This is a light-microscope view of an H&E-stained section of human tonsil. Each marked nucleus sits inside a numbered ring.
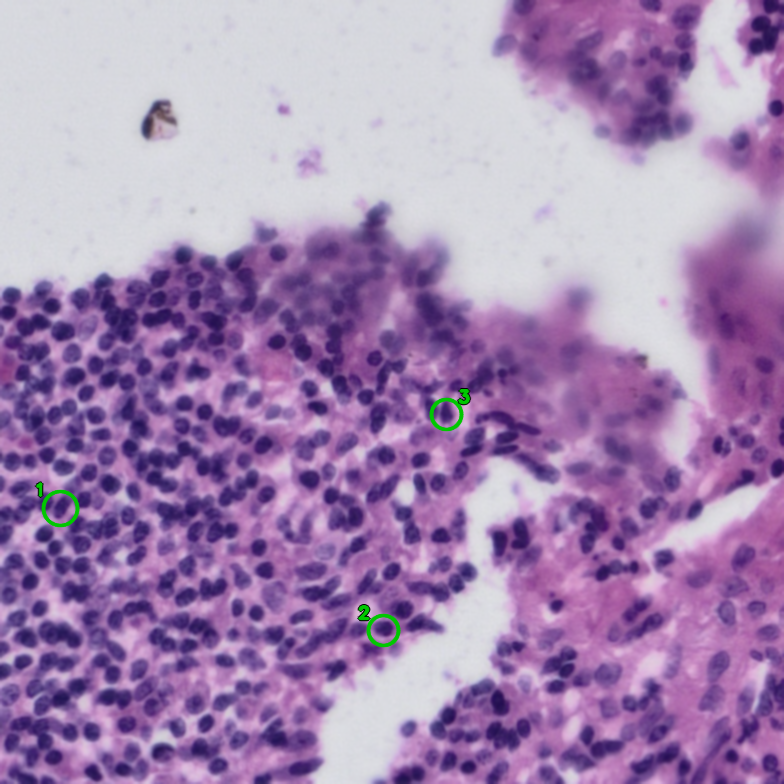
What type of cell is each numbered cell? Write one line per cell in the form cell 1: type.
cell 1: small lymphocyte
cell 2: plasma cell
cell 3: squamous epithelial cell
